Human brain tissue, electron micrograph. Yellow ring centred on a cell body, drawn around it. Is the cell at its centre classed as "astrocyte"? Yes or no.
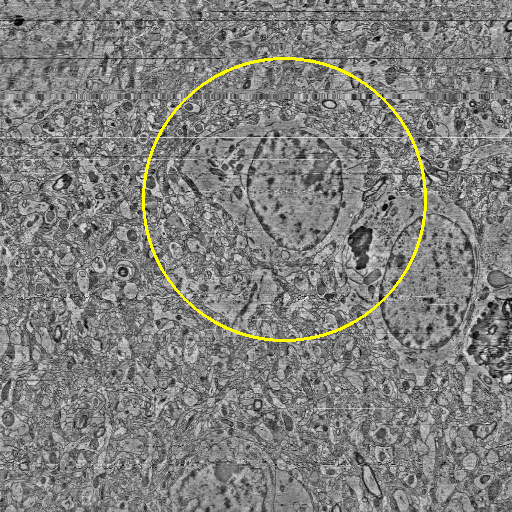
Yes, it is classed as that.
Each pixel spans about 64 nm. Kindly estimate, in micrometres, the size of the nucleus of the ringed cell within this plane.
In this plane, about 8 micrometres in length and 6 in width.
